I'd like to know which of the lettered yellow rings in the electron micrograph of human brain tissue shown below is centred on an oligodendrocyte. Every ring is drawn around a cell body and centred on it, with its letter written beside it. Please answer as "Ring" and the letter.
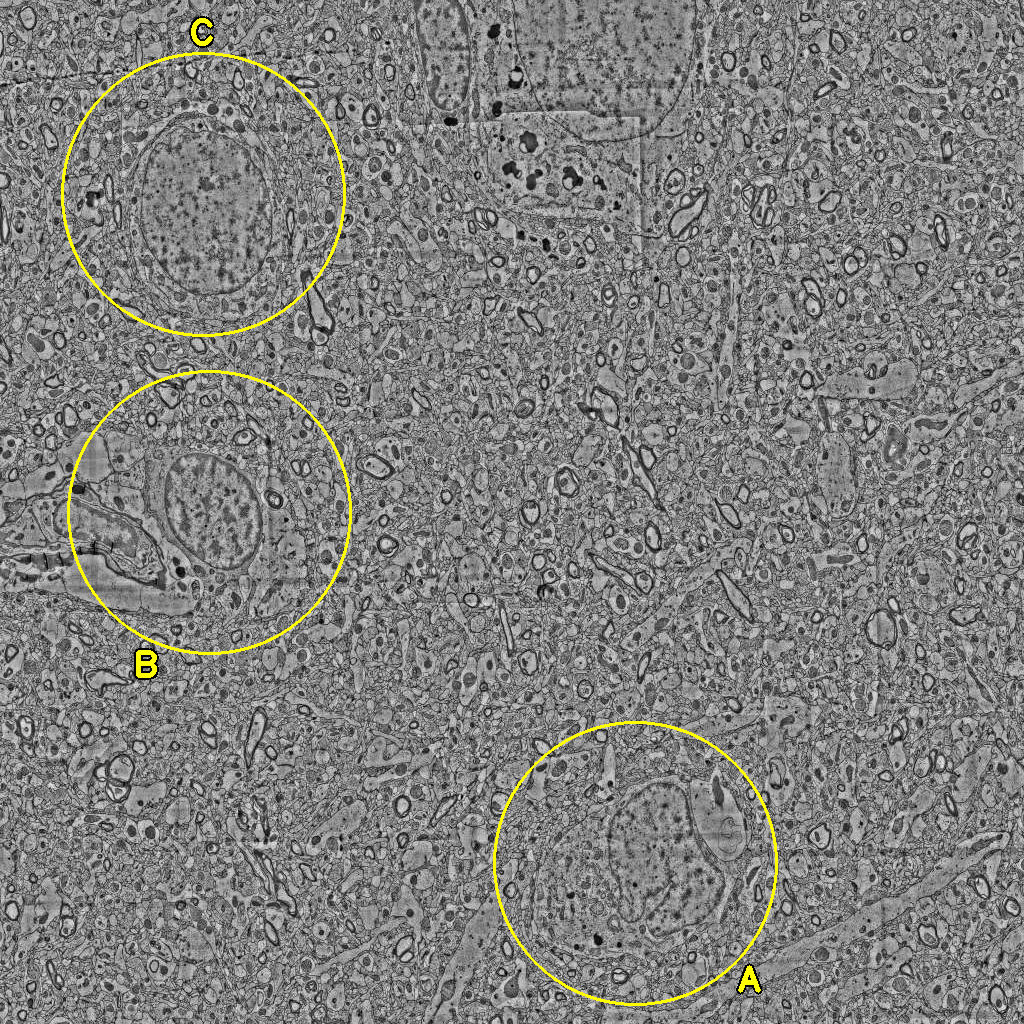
Ring B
